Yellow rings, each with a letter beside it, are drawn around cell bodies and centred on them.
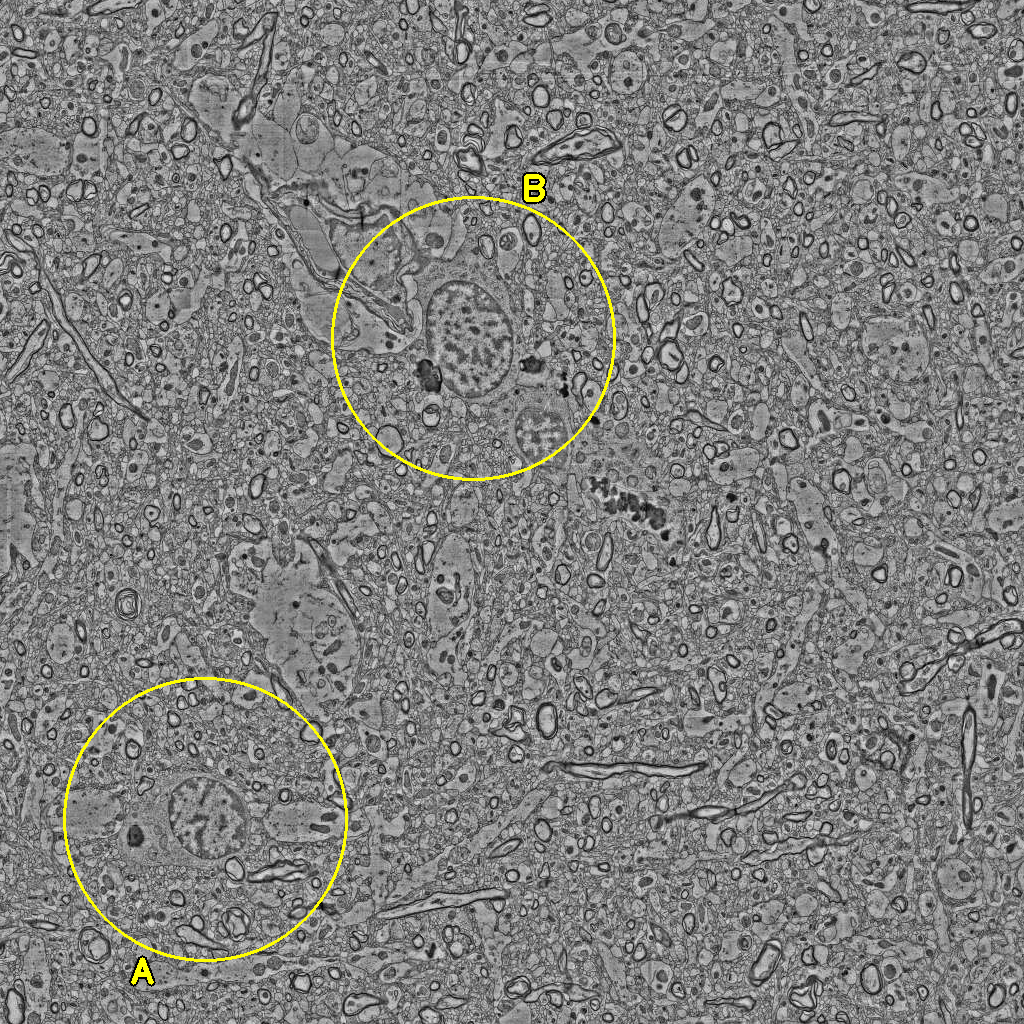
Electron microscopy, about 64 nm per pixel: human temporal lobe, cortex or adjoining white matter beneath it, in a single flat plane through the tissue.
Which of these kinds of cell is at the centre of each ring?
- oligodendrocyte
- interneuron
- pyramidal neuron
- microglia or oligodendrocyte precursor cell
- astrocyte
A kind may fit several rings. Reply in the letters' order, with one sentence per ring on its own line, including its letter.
The cell in the middle of ring A is an oligodendrocyte.
The cell in the middle of ring B is an oligodendrocyte.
